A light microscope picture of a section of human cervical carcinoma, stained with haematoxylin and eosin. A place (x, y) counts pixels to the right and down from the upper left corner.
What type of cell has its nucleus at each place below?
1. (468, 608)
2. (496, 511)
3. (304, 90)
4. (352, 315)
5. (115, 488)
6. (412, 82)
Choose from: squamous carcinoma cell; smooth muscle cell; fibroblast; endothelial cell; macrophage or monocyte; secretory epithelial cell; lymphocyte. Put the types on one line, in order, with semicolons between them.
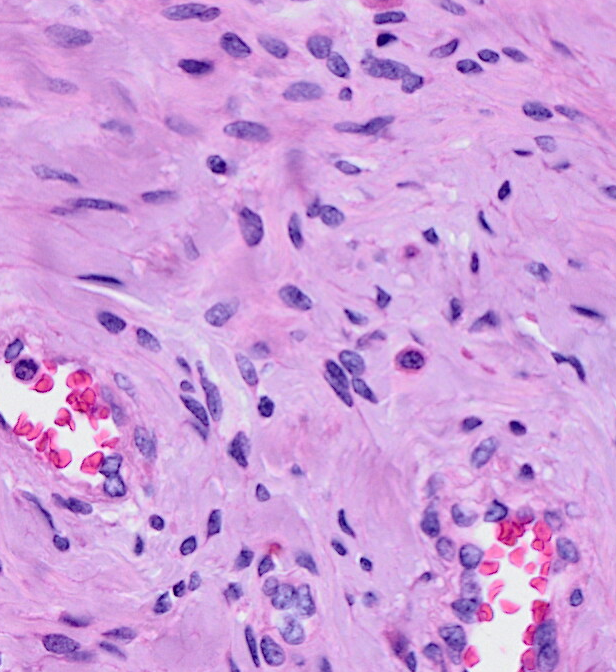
endothelial cell; endothelial cell; fibroblast; fibroblast; endothelial cell; fibroblast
